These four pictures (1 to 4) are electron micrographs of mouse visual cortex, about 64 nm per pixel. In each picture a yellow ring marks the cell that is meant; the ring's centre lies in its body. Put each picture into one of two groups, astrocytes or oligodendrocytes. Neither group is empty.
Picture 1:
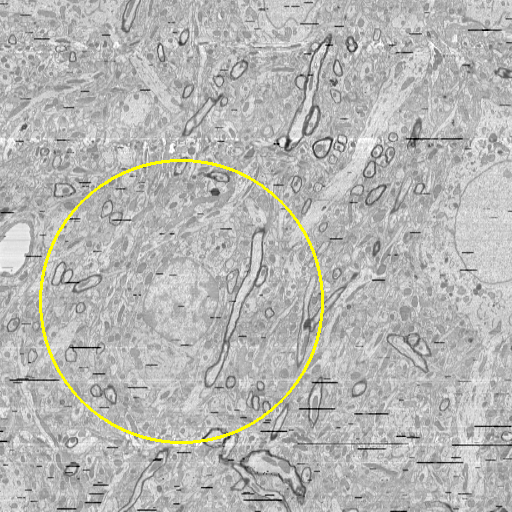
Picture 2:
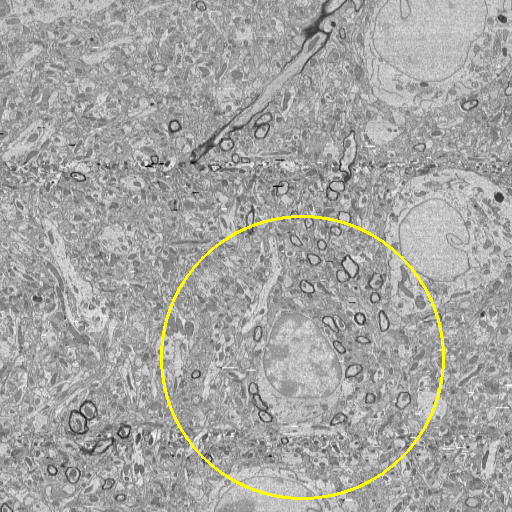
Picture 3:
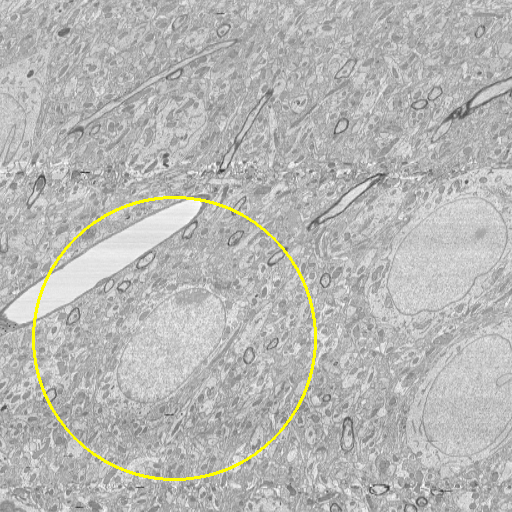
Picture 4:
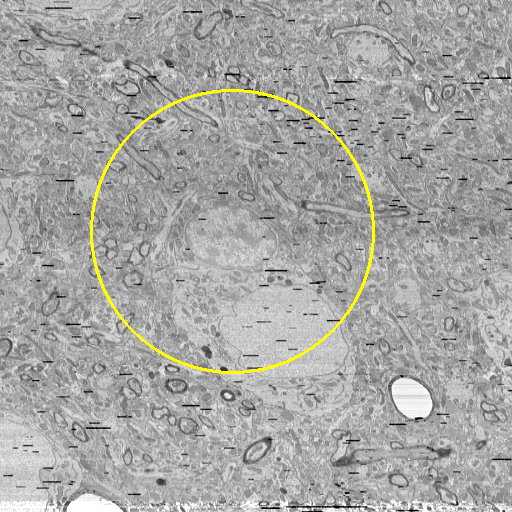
Picture 3 shows an astrocyte, and pictures 1, 2 and 4 show oligodendrocytes.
